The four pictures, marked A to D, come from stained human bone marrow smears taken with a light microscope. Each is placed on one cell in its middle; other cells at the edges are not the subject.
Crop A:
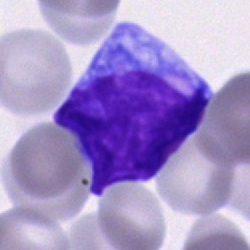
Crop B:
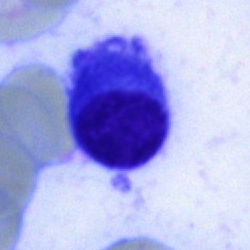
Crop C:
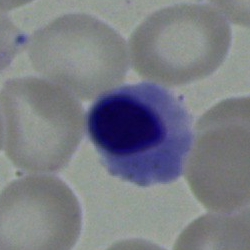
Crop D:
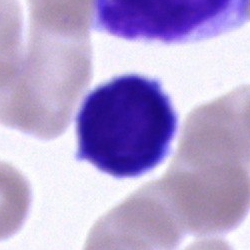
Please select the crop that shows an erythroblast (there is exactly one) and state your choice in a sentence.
The cell at the center of crop C is the one that is an erythroblast.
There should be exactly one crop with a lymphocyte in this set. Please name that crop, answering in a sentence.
On review of the set, crop D is the one showing a lymphocyte.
